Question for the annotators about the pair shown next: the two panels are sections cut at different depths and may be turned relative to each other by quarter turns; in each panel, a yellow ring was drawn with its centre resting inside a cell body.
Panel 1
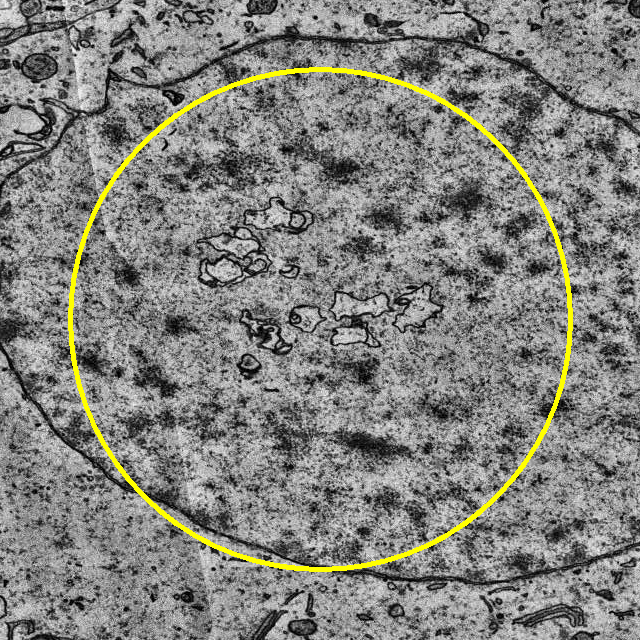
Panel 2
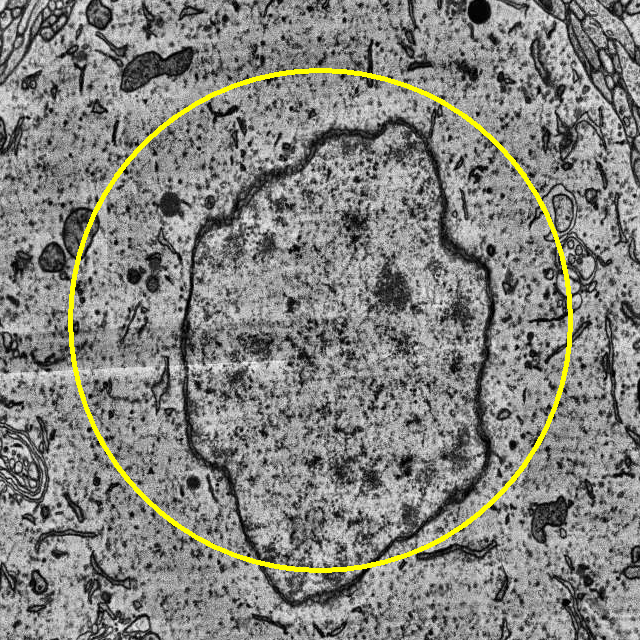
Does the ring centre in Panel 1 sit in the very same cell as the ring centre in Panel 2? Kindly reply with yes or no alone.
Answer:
yes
